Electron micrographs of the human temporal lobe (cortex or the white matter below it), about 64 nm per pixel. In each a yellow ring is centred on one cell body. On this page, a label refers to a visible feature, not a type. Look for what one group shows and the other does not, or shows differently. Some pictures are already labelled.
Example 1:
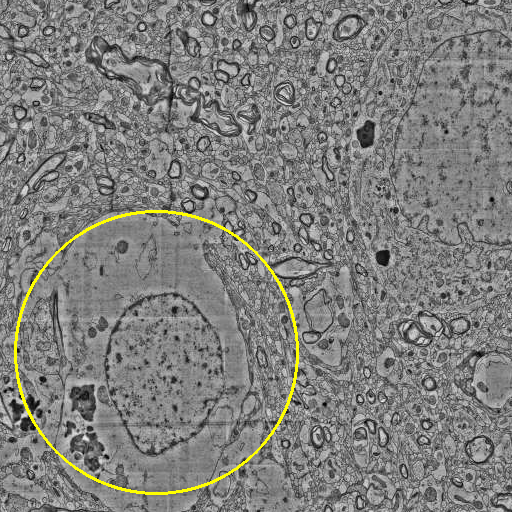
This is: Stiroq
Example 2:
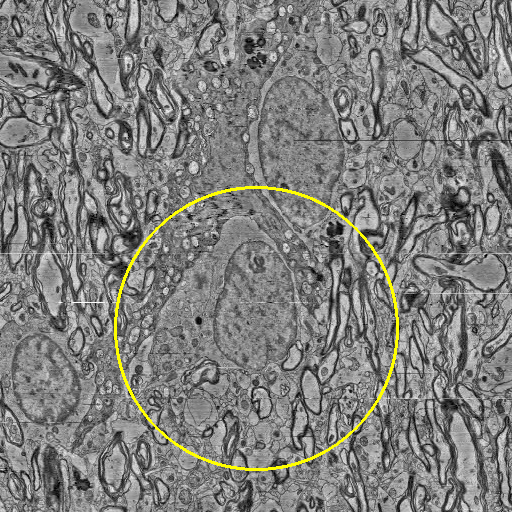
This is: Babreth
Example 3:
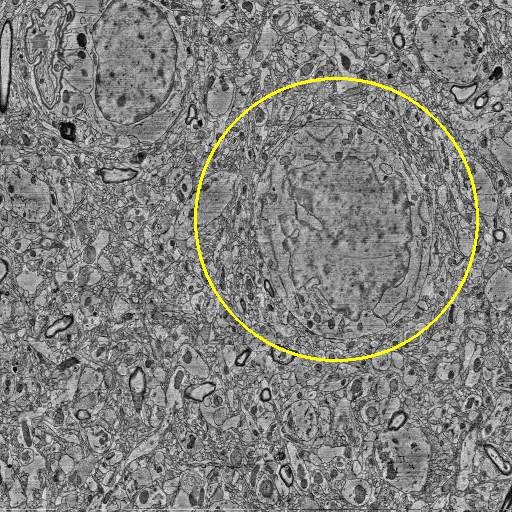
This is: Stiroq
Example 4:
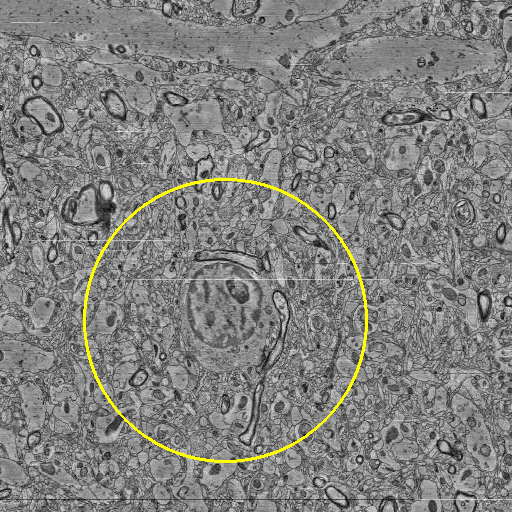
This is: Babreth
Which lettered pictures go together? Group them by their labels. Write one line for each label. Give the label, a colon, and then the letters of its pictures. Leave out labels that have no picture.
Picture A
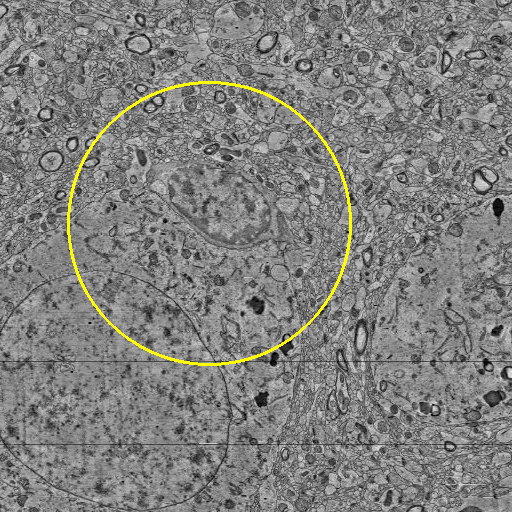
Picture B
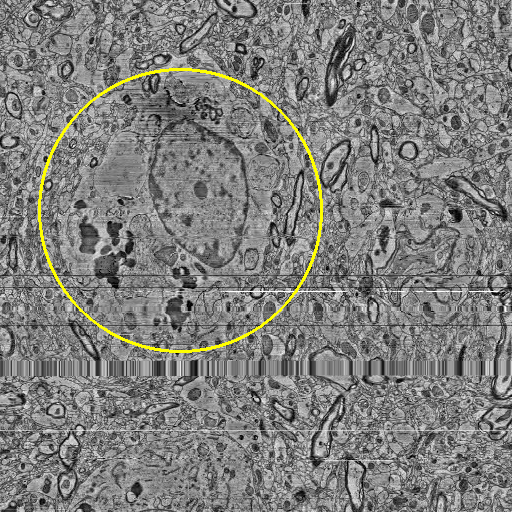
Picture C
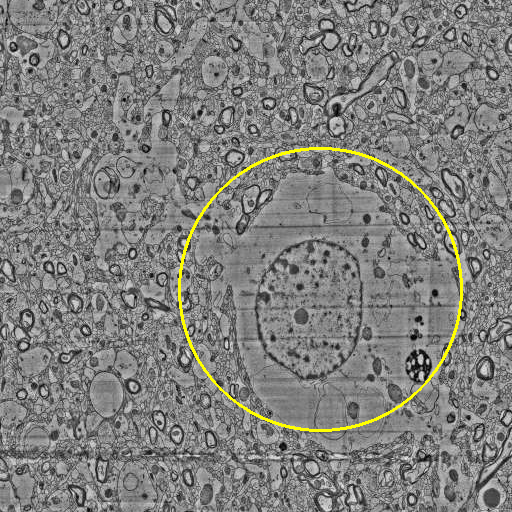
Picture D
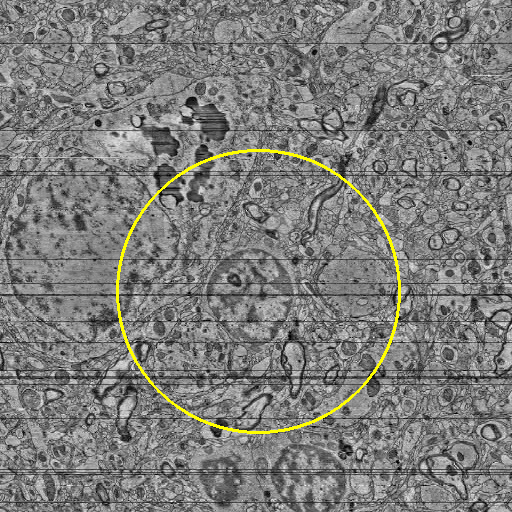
Stiroq: A
Babreth: B, C, D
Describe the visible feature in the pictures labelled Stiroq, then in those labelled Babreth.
Stiroq: no nucleolus seen; Babreth: nucleolus seen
